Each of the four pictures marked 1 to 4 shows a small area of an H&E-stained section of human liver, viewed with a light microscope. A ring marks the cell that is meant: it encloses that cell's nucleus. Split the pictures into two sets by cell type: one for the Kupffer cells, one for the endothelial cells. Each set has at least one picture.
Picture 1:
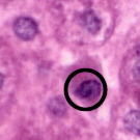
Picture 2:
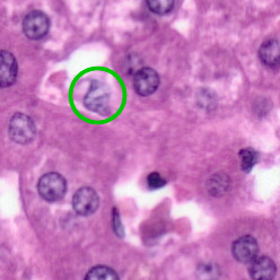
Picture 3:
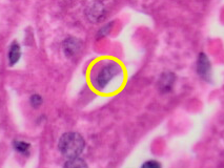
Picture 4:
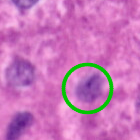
1: Kupffer cell
2: Kupffer cell
3: Kupffer cell
4: endothelial cell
